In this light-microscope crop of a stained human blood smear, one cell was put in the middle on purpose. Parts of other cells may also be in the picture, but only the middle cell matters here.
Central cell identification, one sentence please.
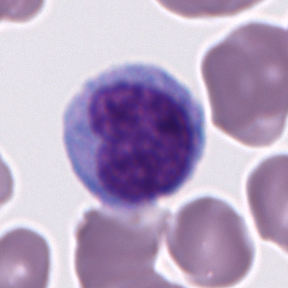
This crop's central cell is a monocyte.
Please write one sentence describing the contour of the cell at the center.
From every side, the cell boundary is smooth and free of projections.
